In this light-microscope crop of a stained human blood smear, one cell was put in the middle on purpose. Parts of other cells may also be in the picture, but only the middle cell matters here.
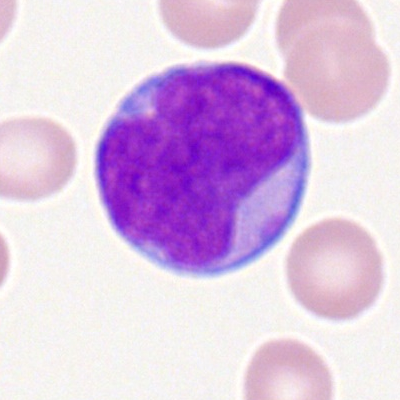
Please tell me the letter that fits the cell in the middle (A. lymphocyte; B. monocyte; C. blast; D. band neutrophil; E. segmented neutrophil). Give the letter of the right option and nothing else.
C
